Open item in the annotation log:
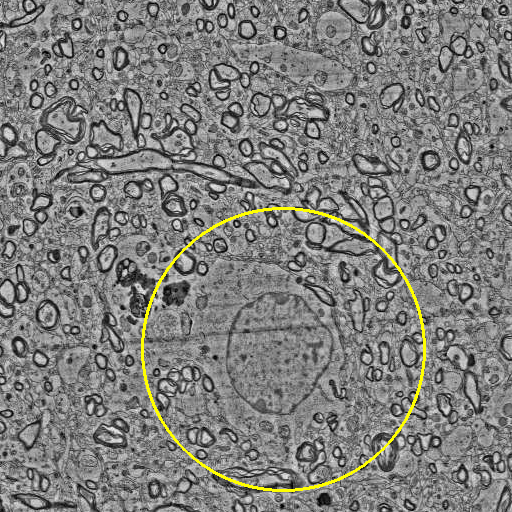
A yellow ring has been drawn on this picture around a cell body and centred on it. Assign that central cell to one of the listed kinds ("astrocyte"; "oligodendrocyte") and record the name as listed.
astrocyte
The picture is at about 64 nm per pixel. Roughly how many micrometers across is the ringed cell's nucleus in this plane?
The nucleus comes to roughly 7 micrometres across in this plane.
